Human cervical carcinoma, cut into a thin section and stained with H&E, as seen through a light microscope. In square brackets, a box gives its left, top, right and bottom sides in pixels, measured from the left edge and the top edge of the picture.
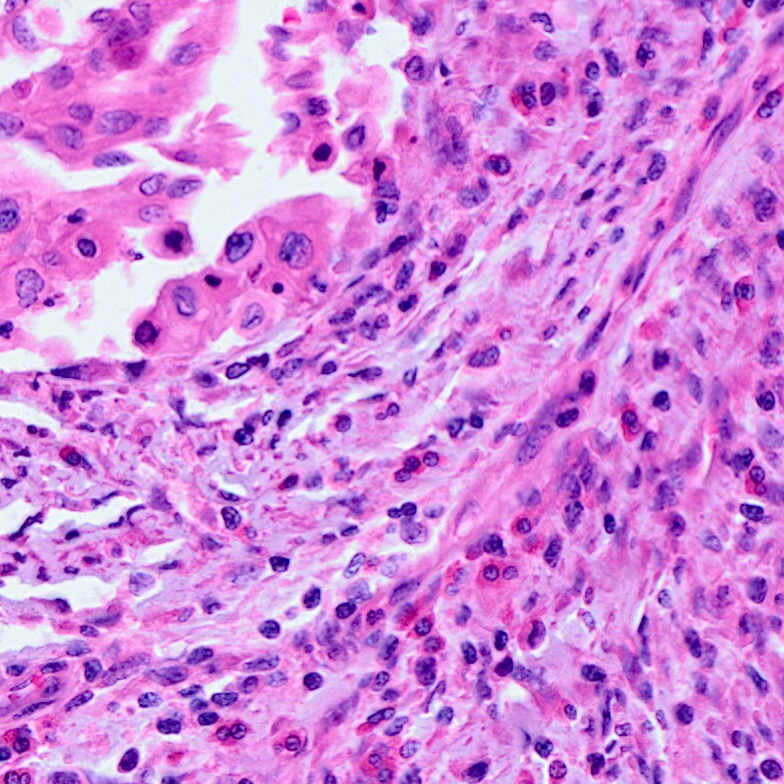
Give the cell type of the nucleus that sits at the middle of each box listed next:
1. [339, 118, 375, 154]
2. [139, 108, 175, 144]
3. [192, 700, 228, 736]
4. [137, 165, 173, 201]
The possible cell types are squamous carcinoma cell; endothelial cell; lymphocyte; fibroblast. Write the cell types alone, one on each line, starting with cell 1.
squamous carcinoma cell
squamous carcinoma cell
lymphocyte
squamous carcinoma cell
